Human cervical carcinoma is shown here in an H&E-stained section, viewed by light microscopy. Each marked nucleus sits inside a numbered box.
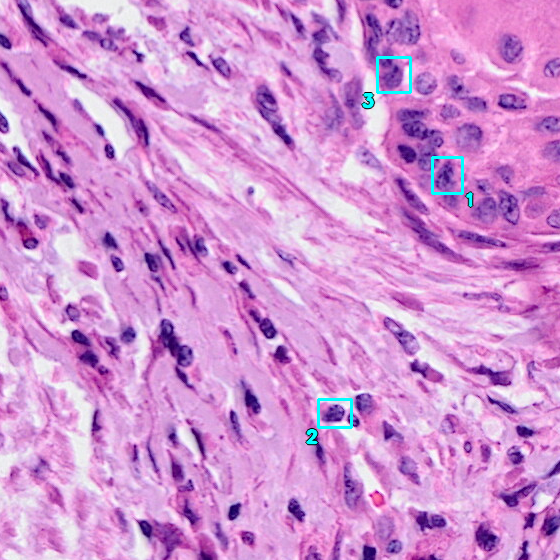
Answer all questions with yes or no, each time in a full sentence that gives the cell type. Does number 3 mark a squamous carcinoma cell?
Yes, the cell marked by the number 3 is a squamous carcinoma cell.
